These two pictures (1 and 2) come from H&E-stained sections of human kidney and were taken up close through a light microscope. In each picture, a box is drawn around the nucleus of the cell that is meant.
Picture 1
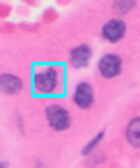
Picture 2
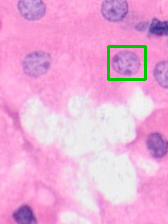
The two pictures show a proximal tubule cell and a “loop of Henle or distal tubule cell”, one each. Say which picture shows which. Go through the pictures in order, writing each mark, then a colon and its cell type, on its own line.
1: loop of Henle or distal tubule cell
2: proximal tubule cell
